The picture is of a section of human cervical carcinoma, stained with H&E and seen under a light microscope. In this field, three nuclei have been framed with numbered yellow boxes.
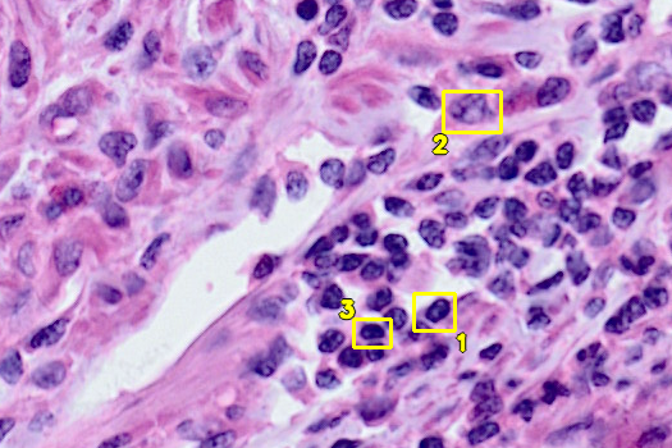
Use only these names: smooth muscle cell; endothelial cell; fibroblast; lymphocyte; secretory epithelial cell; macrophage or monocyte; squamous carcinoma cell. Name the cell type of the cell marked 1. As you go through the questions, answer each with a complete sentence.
Denoted by the label 1 in the section is a lymphocyte.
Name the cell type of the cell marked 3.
The cell that goes by number 3 is a lymphocyte.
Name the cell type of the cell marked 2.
The cell given label 2 is a macrophage or monocyte.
